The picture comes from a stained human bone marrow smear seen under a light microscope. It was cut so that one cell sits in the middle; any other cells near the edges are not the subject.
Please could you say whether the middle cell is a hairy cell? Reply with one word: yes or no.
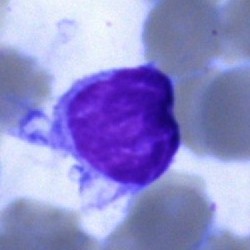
yes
